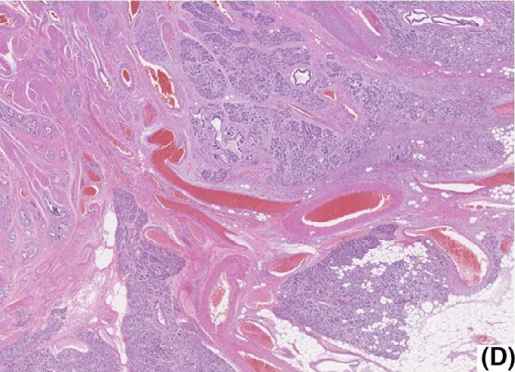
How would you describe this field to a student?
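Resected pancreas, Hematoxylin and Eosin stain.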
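Many large, irregular, winding vessels with walls of varying thickness and lumens filled with red blood cluster together, with purple lobules of glandular tissue between them. This is a conglomeration of irregular dilated and tortuous arteries and veins within the pancreatic parenchyma.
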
